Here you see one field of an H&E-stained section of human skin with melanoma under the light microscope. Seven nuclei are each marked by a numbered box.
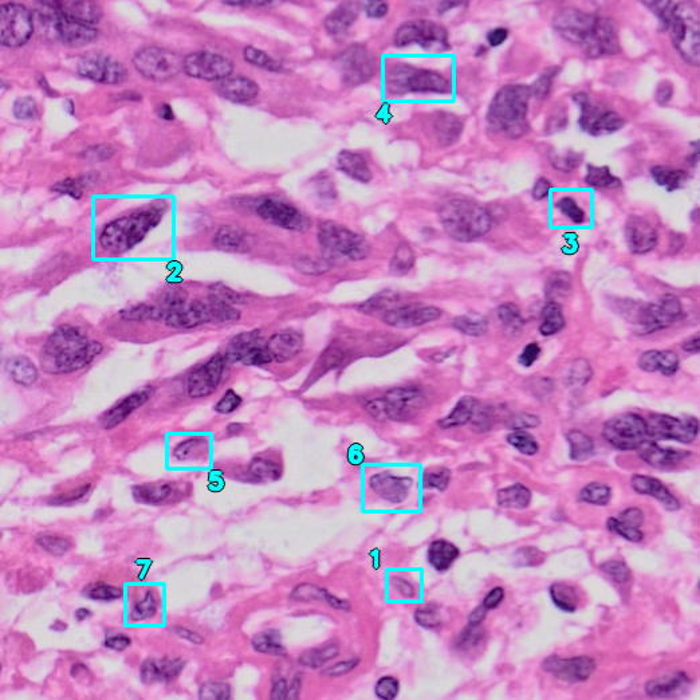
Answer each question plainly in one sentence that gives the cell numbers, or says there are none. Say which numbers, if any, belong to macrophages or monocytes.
The cells with numbers 1, 5, 6 and 7 are macrophages or monocytes by type.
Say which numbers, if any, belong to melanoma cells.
The cells that have been numbered 2 and 4 are melanoma cells.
